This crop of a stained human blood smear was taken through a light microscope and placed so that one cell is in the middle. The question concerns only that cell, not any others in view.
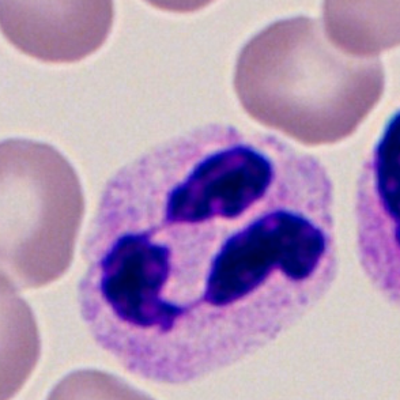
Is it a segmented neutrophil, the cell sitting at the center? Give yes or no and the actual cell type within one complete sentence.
Yes, a segmented neutrophil is what the central cell is.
